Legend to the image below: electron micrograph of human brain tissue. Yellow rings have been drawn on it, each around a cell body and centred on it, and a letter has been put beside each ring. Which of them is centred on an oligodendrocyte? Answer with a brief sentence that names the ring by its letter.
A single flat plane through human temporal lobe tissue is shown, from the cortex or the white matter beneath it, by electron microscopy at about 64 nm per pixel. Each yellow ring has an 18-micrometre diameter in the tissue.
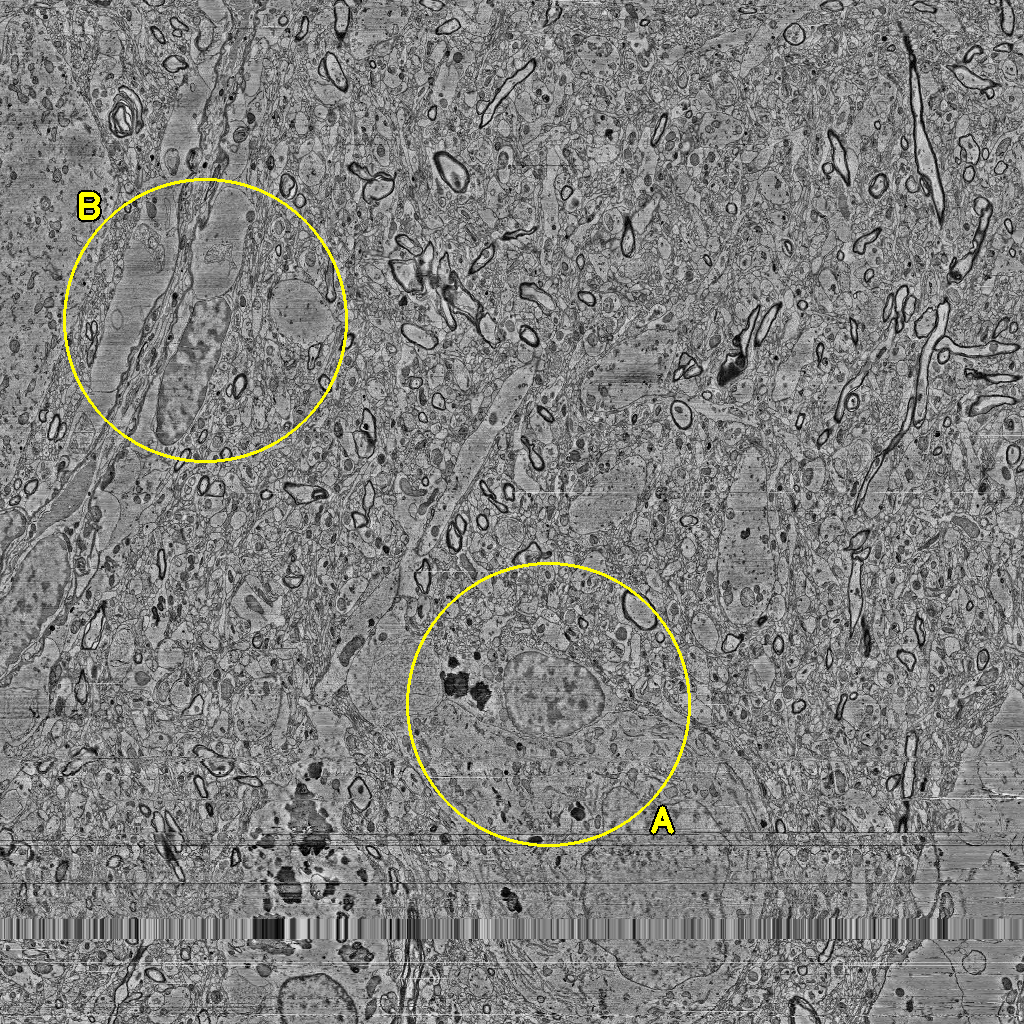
It is the ring lettered A.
